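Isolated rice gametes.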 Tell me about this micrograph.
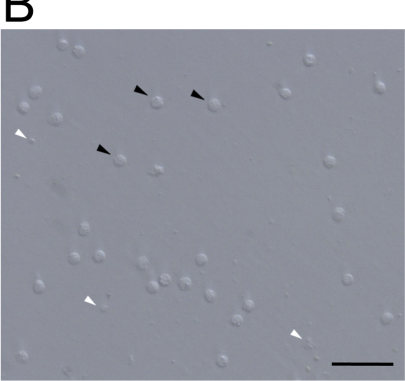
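The cells are of fairly uniform small size and appear clear, with little visible internal detail. Tiny irregular fragments of cell debris lie among them, smaller than the cells and without a round outline.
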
